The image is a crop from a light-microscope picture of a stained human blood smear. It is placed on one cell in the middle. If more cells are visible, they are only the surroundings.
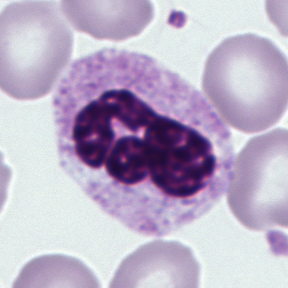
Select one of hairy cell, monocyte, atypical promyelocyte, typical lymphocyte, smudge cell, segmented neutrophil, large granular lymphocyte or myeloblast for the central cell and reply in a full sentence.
The cell centered in this field of view is a segmented neutrophil.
